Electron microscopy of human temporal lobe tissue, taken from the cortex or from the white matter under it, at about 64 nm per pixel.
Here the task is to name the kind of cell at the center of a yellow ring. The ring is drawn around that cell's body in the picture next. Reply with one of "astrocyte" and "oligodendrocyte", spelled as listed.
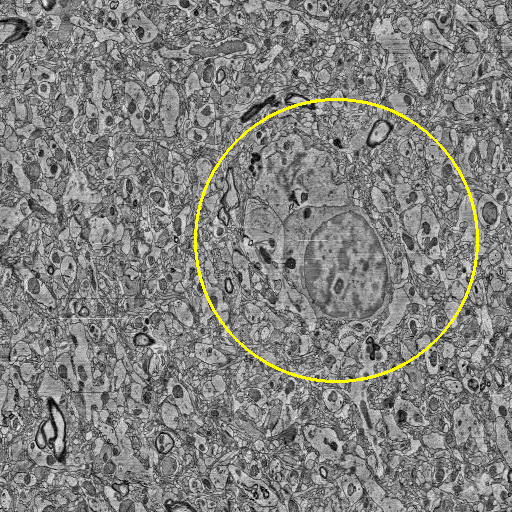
oligodendrocyte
